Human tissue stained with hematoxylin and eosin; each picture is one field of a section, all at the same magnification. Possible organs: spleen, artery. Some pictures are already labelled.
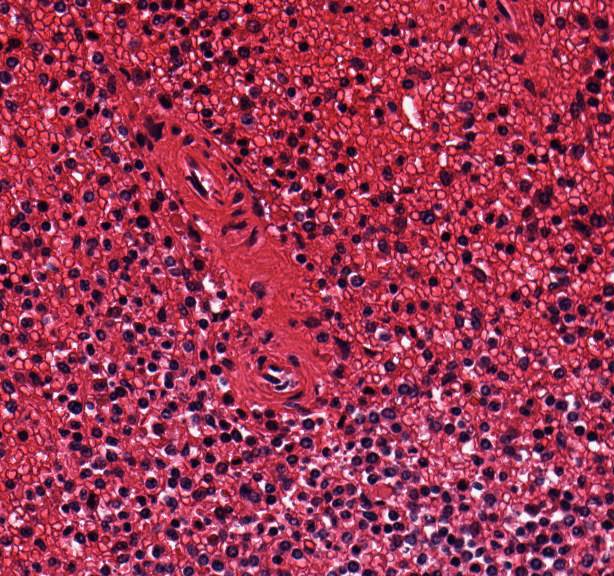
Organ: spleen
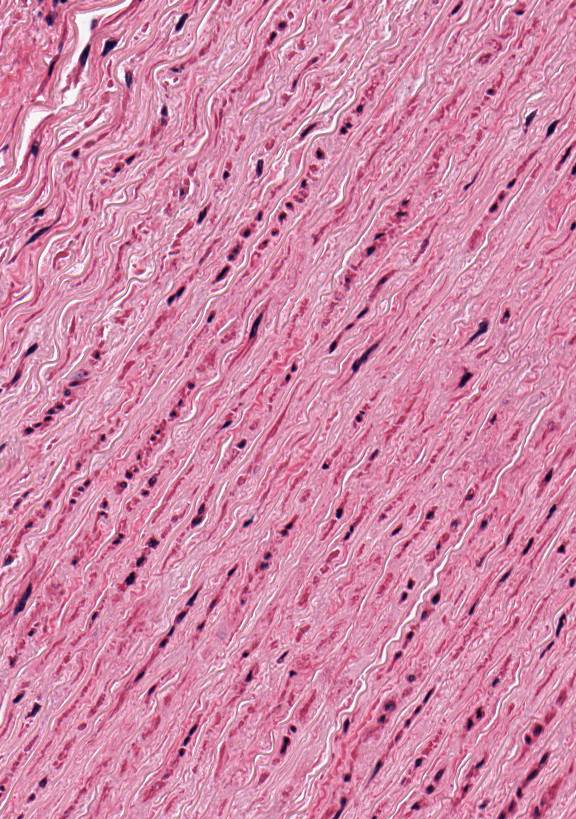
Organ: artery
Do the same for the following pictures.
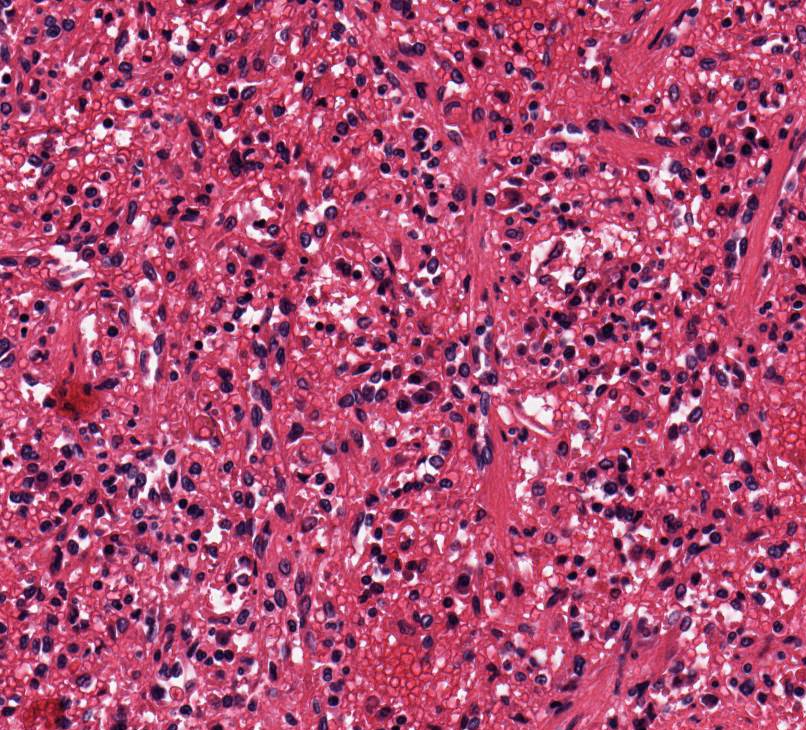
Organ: spleen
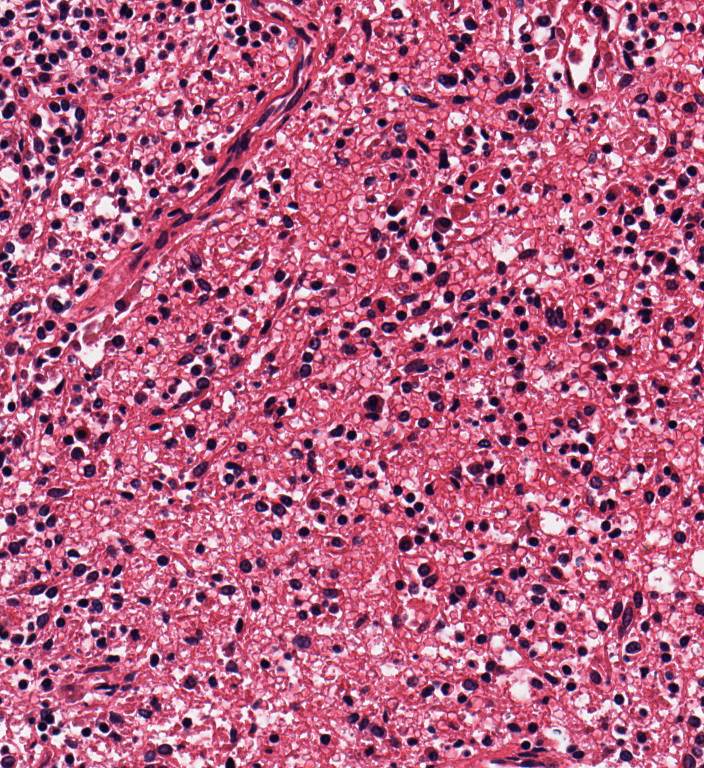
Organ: spleen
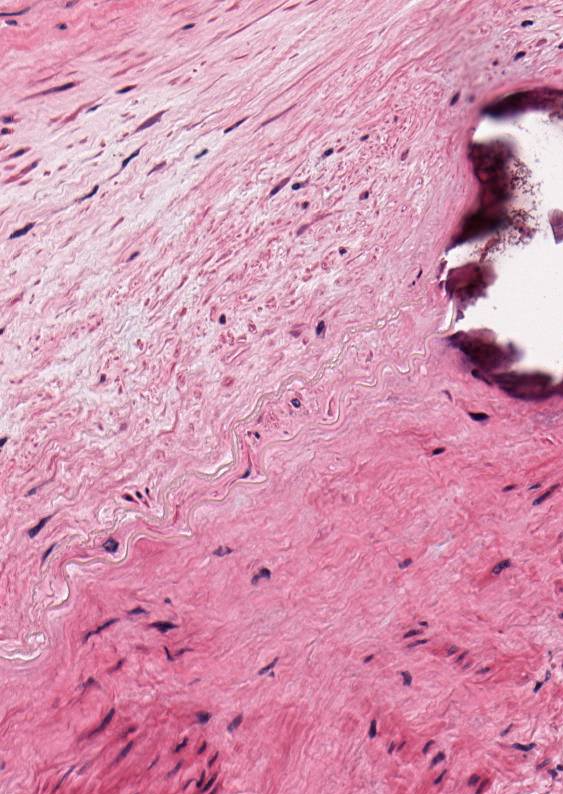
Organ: artery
